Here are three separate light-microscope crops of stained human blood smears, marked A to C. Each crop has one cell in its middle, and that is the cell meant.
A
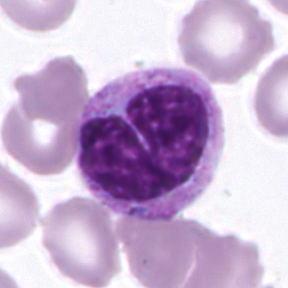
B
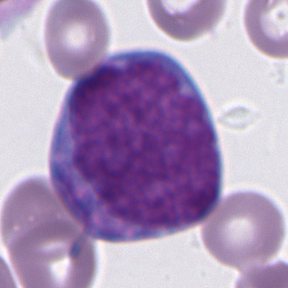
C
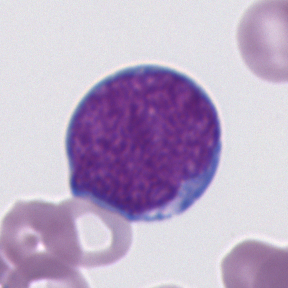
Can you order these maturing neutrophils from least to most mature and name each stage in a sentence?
In order of rising maturity, the sequence is crop C (a myeloblast), crop B (a promyelocyte) and crop A (a band neutrophil).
